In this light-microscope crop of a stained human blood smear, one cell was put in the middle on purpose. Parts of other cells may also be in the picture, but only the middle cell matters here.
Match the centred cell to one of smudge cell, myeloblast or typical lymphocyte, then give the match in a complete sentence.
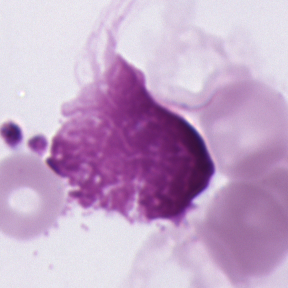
In this smear crop, the middle cell is a smudge cell.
